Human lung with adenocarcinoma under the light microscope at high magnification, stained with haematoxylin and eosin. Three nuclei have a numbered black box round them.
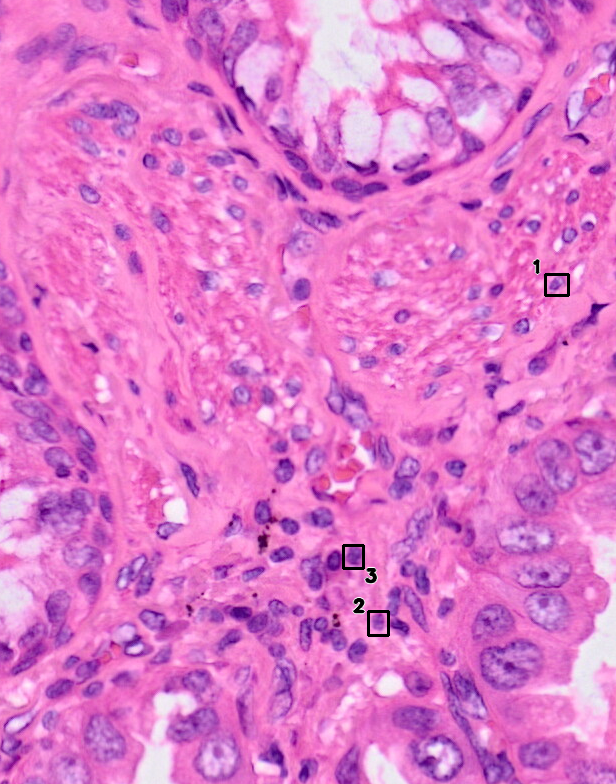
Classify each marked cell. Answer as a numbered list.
1. smooth muscle cell or pericyte
2. lymphocyte
3. lymphocyte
